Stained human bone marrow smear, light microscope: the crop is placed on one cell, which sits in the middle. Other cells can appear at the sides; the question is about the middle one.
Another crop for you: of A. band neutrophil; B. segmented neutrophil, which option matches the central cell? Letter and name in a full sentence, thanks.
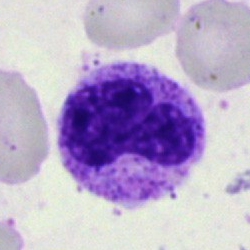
Well, the cell in the middle is a band neutrophil, making option A right.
